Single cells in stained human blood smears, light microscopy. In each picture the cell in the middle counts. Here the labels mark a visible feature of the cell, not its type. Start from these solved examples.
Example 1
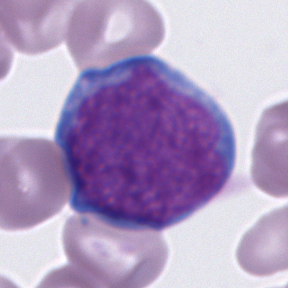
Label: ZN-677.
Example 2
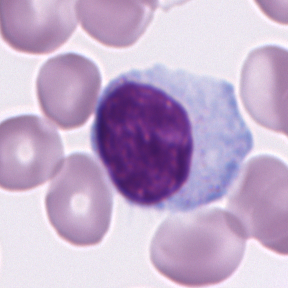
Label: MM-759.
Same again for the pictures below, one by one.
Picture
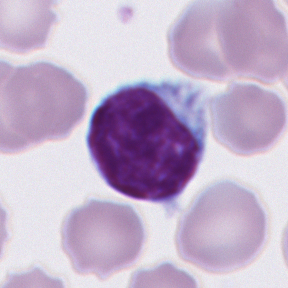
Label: ZN-677.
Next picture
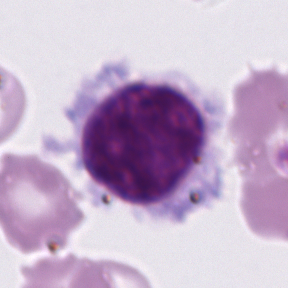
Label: ZN-677.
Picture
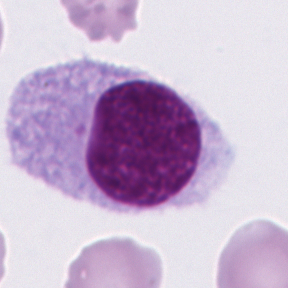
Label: MM-759.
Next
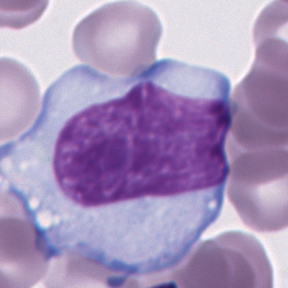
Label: MM-759.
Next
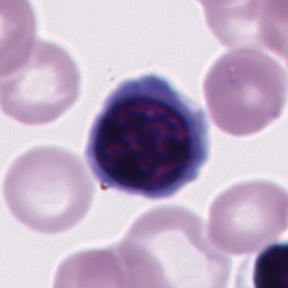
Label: ZN-677.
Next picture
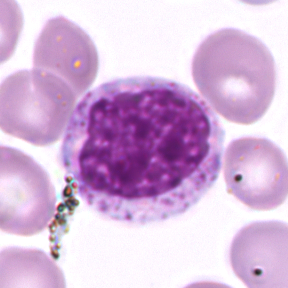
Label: ZN-677.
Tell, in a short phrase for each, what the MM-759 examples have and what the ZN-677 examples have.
Seen in MM-759: abundant cytoplasm; seen in ZN-677: scant cytoplasm.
